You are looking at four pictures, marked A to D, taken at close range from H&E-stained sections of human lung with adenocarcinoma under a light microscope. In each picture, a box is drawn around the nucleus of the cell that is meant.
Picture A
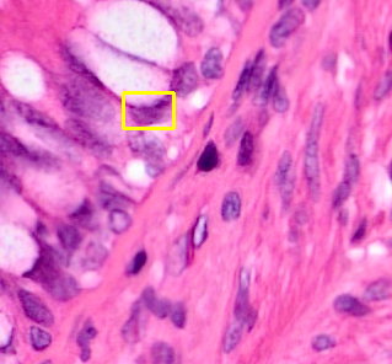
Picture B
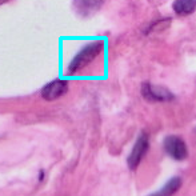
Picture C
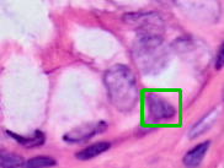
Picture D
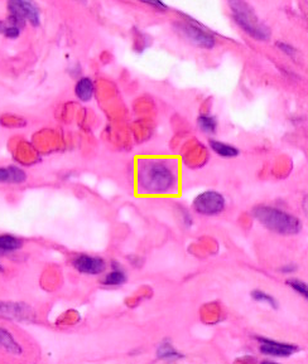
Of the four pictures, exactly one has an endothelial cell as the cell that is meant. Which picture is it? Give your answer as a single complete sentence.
Picture B is the one that shows the endothelial cell.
